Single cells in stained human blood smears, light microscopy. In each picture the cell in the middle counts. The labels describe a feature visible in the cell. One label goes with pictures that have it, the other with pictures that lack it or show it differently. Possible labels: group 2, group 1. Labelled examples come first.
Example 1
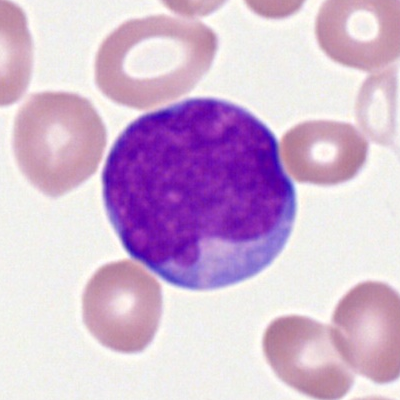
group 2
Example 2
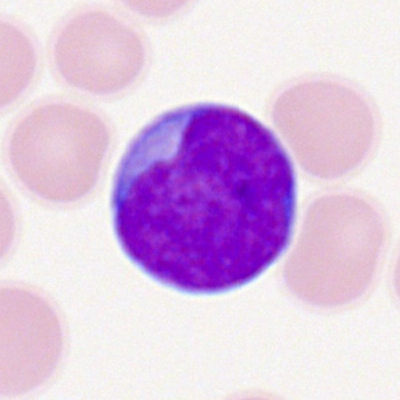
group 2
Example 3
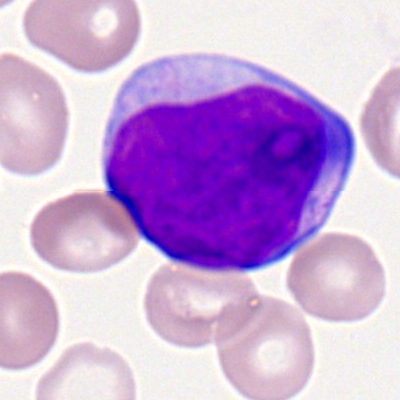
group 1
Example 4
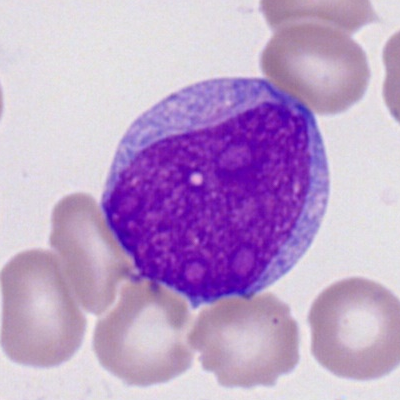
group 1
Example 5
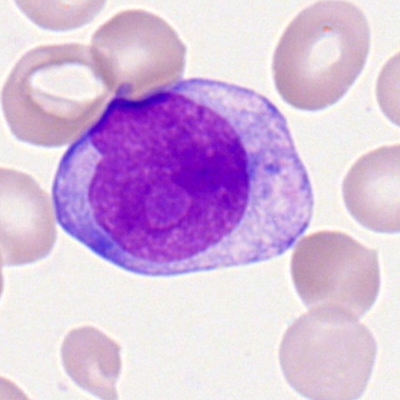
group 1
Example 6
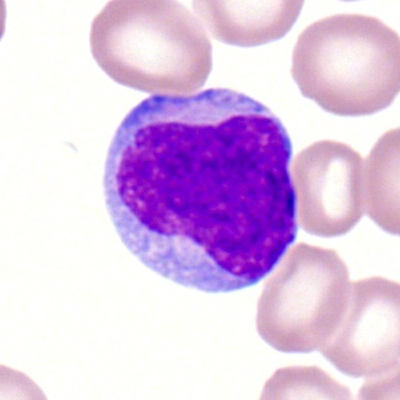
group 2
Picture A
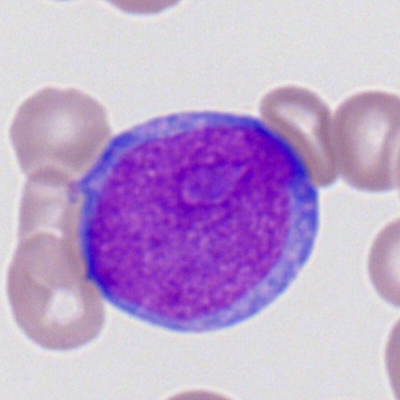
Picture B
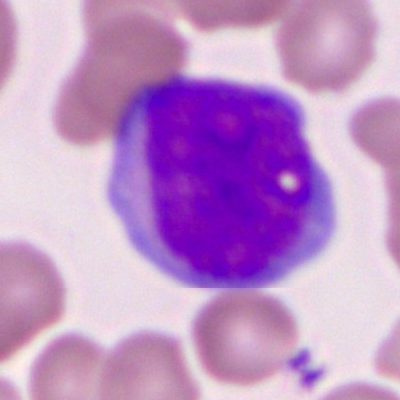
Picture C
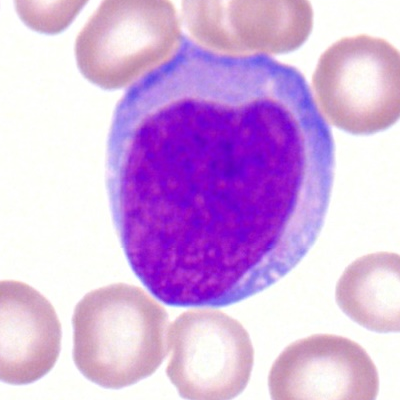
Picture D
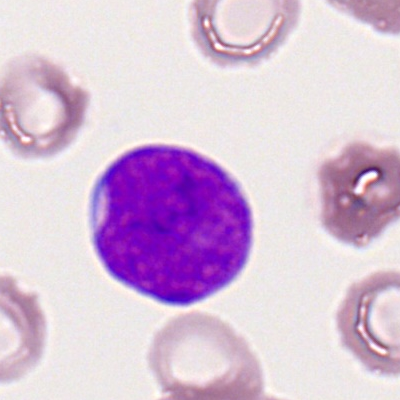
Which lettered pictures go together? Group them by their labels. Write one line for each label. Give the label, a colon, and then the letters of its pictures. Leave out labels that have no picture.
group 2: C, D
group 1: A, B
